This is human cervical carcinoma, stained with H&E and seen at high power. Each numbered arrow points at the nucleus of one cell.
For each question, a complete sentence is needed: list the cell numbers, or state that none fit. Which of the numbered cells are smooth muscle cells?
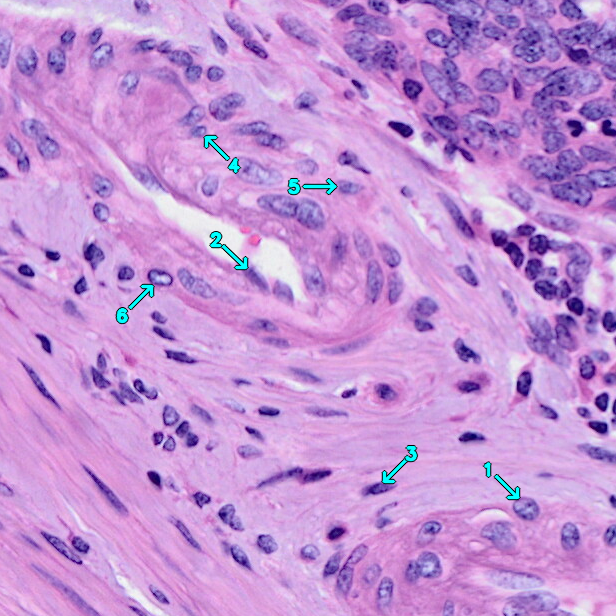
The cells identified by the numbers 1, 4, 5 and 6 are smooth muscle cells.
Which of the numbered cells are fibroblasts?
It is only cell 3 that is a fibroblast among the numbered cells.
